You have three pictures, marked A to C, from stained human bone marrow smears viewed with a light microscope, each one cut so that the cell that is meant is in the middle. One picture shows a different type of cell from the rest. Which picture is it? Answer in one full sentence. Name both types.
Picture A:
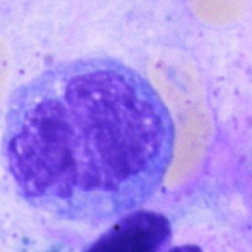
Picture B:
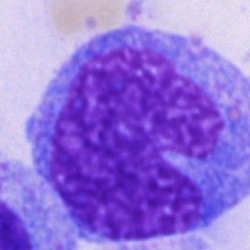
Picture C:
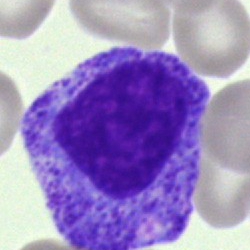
All pictures except C show monocytes; picture C shows a promyelocyte.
